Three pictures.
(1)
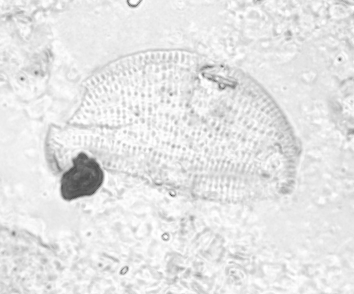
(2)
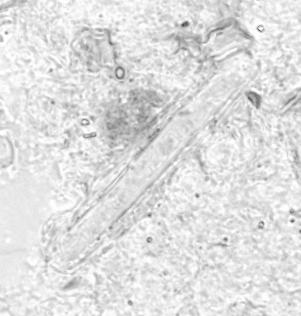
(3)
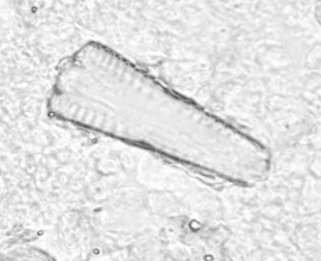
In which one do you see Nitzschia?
In picture 2.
